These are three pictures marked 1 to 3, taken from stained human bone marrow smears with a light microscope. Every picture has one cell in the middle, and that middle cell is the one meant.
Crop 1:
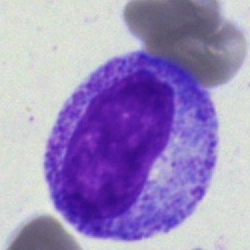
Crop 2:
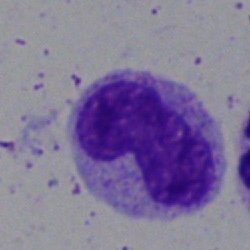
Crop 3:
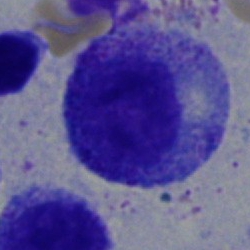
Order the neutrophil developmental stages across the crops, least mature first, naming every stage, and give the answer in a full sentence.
Listed in order of increasing maturity, the crops are crop 1 (a promyelocyte), crop 3 (a myelocyte) and crop 2 (a band neutrophil).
